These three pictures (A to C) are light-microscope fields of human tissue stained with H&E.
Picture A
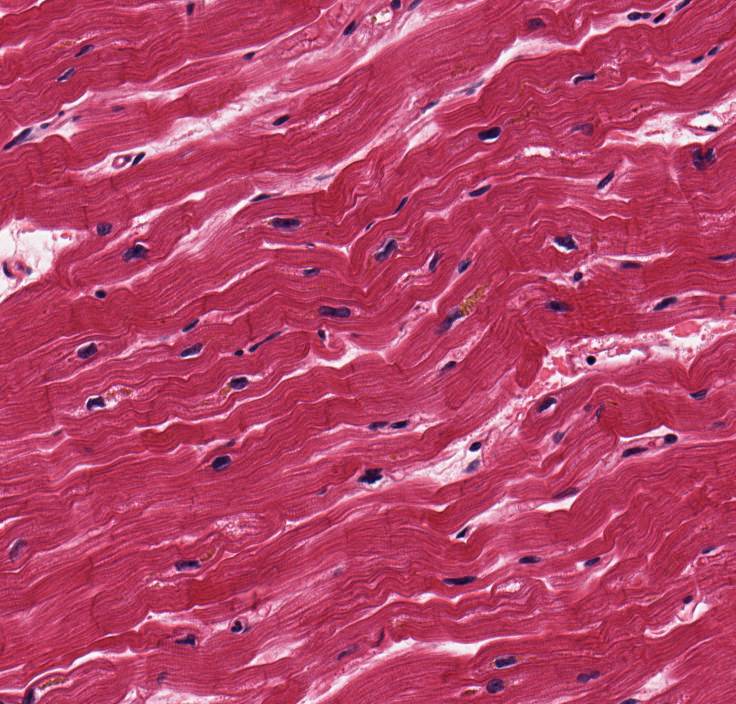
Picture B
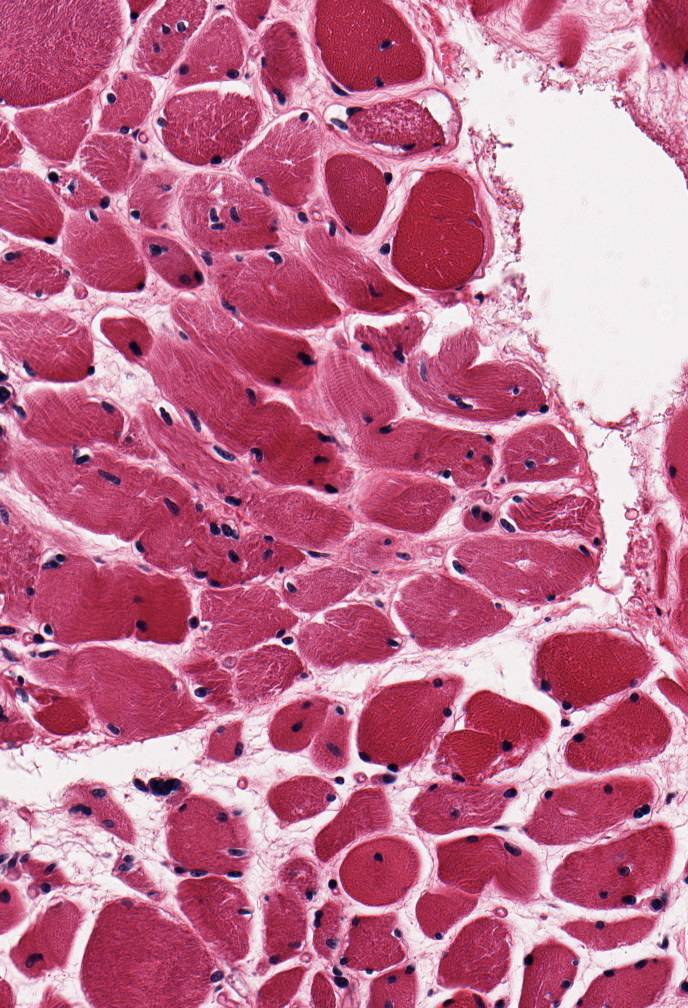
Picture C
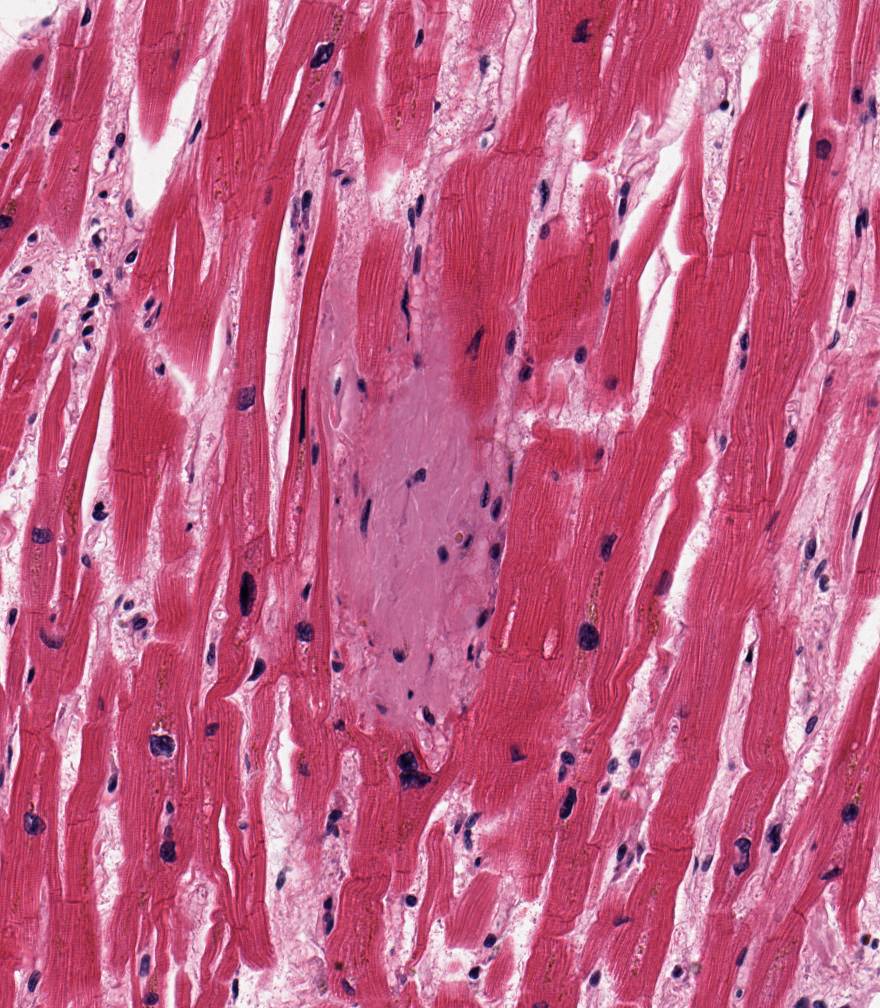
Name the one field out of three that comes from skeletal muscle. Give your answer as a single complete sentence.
The one that comes from skeletal muscle is picture B.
